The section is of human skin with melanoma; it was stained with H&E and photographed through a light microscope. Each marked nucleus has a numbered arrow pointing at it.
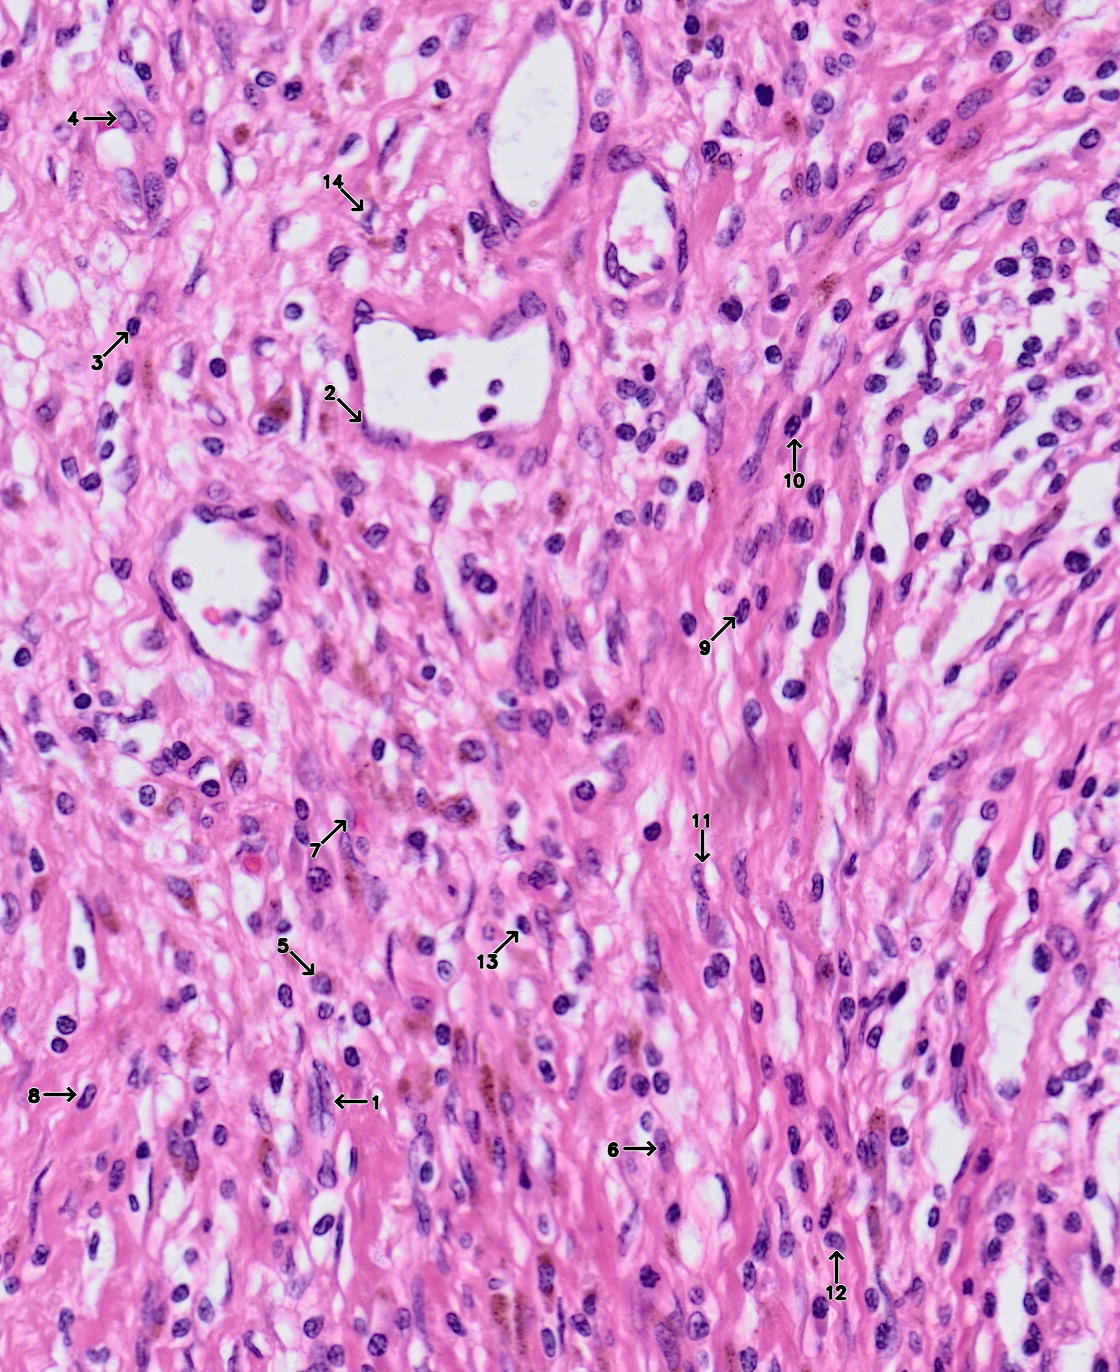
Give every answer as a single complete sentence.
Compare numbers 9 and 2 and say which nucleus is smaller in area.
Nucleus 2 covers less area, with nucleus 9 about 2 times as large.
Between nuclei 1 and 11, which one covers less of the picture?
The smaller nucleus is 11, and 1 covers roughly 3 times its area.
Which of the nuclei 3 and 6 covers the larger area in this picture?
Number 6 is larger; its area is about 1.5 times that of number 3.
